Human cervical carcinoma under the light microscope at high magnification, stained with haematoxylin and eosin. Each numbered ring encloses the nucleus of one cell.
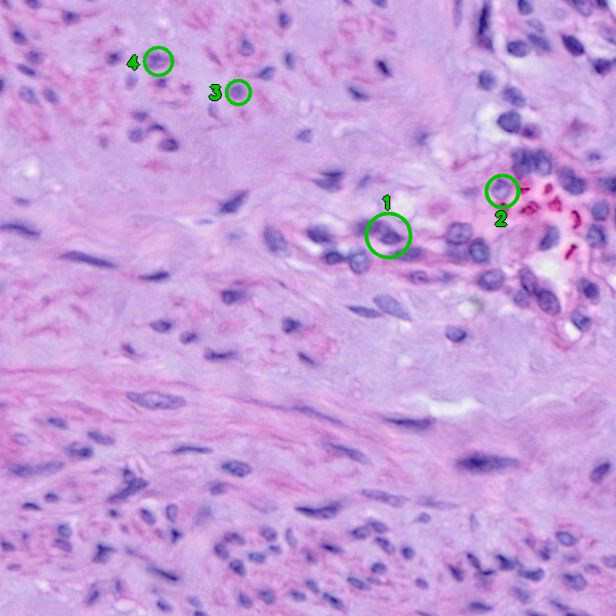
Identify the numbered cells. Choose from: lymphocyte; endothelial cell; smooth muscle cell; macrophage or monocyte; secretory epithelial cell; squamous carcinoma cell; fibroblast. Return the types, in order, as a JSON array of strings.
["endothelial cell", "endothelial cell", "smooth muscle cell", "smooth muscle cell"]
